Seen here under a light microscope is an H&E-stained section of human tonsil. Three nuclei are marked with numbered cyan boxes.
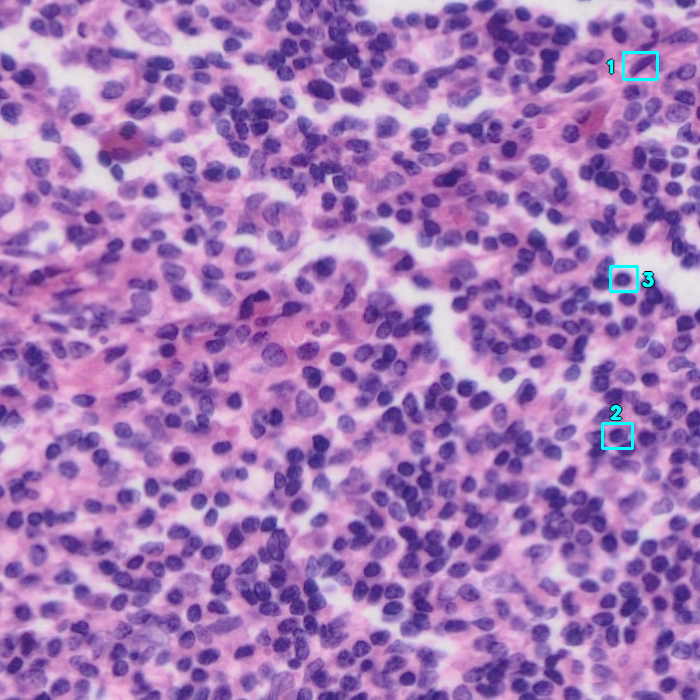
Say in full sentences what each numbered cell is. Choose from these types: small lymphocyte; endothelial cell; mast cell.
Cell 1 is an endothelial cell. Cells 2 and 3 are small lymphocytes.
